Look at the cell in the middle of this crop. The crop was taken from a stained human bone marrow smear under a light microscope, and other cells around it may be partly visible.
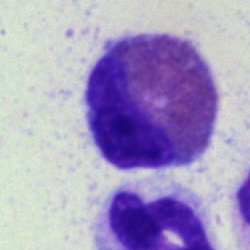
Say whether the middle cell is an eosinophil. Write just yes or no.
yes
